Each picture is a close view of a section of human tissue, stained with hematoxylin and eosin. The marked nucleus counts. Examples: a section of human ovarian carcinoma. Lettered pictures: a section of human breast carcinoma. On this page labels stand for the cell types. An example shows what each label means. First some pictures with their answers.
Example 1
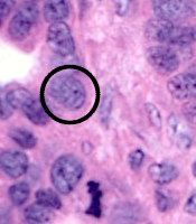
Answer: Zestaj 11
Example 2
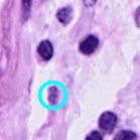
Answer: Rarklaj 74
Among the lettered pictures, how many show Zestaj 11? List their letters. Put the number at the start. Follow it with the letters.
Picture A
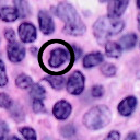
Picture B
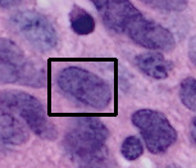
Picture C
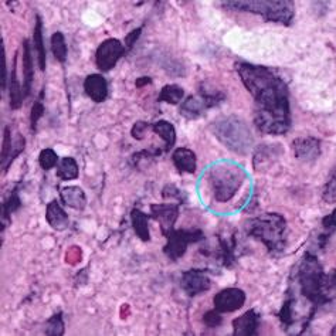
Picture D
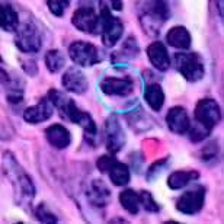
2, namely B, C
